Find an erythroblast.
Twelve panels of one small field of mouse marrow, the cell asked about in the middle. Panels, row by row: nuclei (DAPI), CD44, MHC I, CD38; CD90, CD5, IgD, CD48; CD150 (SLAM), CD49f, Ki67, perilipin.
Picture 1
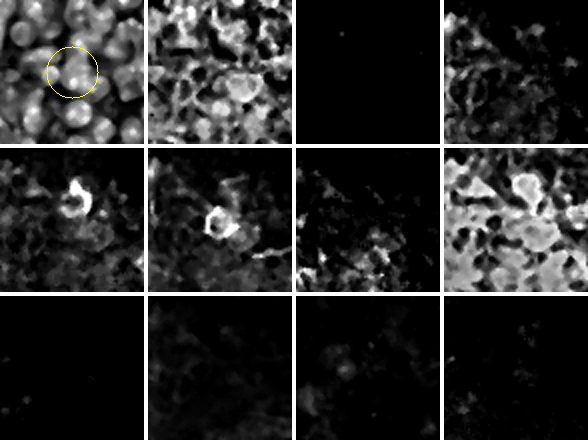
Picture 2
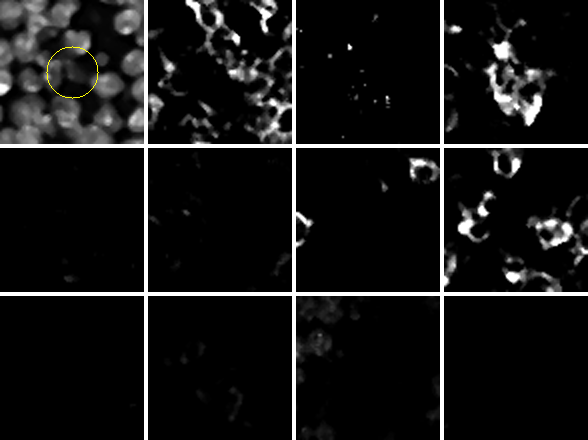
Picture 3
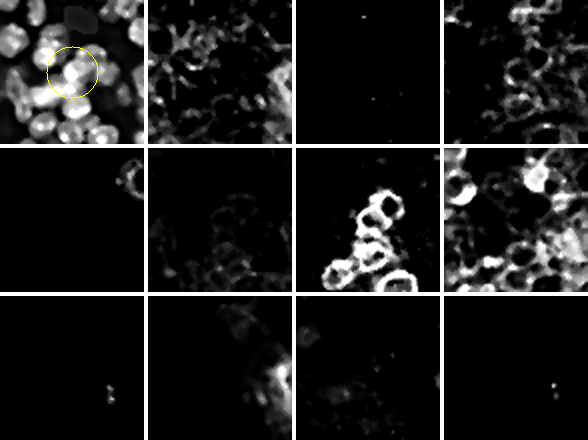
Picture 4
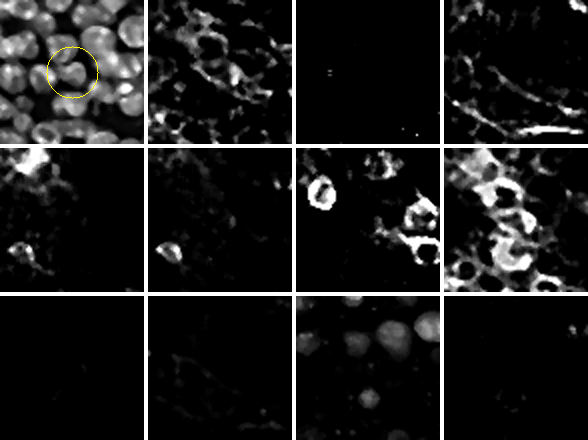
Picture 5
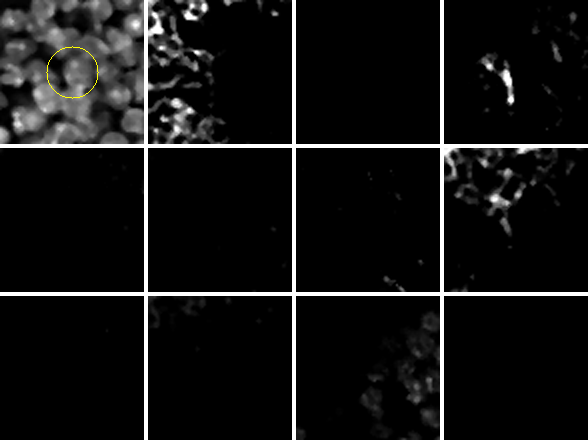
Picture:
5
